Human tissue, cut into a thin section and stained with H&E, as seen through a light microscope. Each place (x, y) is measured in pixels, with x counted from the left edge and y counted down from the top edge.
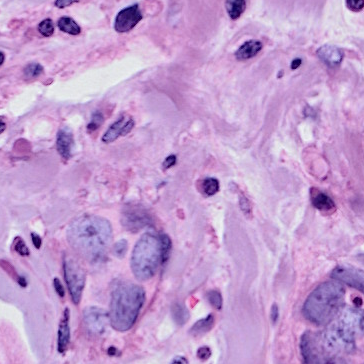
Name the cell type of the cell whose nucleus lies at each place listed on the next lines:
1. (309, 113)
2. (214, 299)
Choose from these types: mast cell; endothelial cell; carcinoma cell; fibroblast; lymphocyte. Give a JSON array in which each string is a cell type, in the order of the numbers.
["fibroblast", "endothelial cell"]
